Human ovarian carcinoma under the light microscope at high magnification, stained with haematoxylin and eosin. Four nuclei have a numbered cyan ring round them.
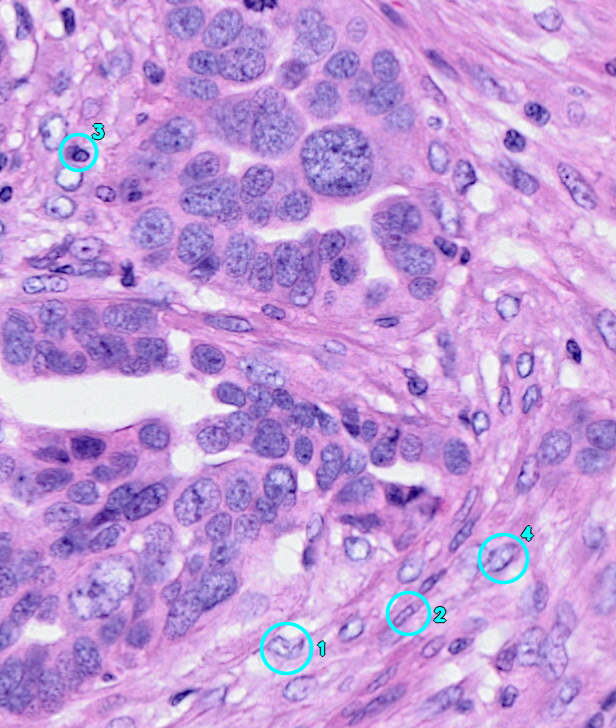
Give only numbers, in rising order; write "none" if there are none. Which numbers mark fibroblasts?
1, 2, 4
